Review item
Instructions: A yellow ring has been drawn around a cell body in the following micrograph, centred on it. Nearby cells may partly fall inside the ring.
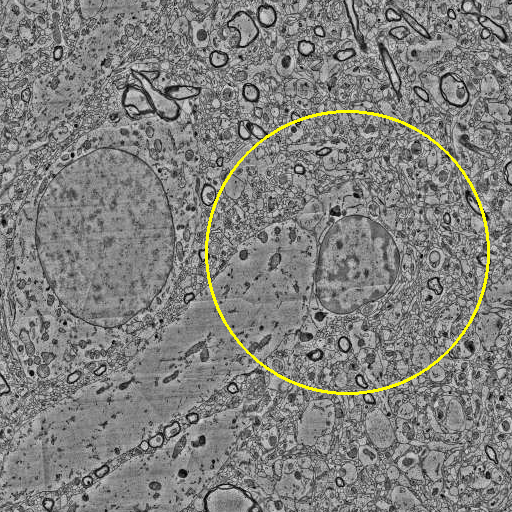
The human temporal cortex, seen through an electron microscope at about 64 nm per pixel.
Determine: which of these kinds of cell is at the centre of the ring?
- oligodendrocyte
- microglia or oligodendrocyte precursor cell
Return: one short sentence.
The cell body in the middle of the ring is that of a microglial cell or oligodendrocyte precursor cell.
